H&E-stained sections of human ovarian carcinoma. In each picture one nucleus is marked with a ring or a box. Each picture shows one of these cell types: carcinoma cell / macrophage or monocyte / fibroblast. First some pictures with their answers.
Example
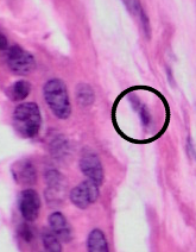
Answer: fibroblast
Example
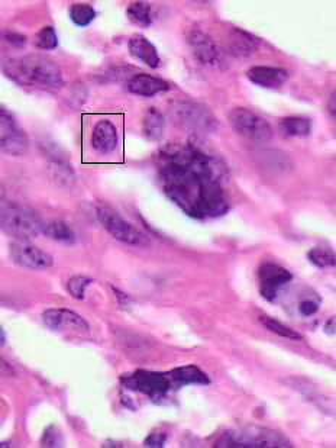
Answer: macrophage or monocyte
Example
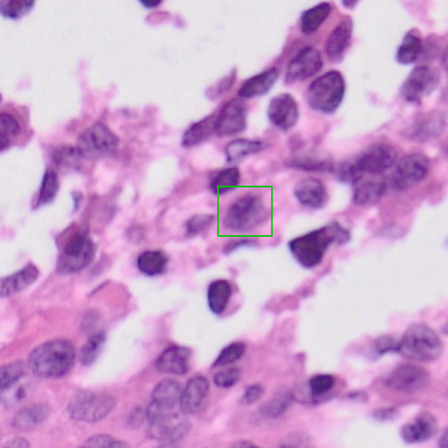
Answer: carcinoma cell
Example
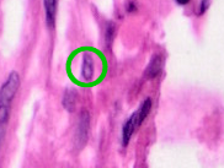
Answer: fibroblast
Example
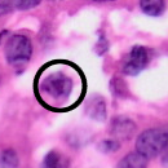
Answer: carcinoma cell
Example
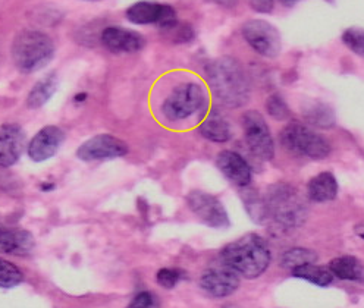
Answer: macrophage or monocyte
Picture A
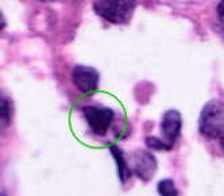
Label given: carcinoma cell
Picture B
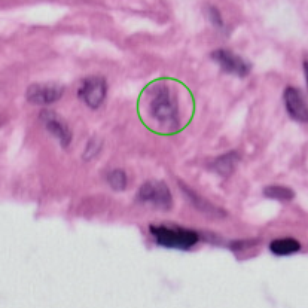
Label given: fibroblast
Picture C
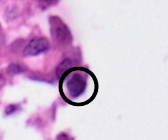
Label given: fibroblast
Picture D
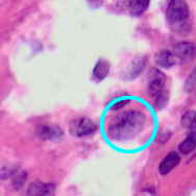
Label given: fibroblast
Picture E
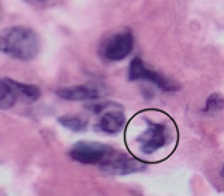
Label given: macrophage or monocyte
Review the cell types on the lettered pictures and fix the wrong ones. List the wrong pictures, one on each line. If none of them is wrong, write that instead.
C: change fibroblast to carcinoma cell
D: change fibroblast to carcinoma cell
